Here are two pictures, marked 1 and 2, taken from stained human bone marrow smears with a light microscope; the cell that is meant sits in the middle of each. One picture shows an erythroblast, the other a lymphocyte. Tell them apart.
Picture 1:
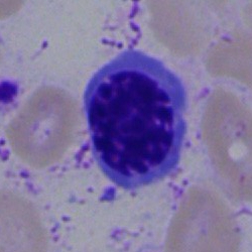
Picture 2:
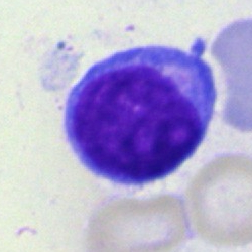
1: erythroblast
2: lymphocyte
